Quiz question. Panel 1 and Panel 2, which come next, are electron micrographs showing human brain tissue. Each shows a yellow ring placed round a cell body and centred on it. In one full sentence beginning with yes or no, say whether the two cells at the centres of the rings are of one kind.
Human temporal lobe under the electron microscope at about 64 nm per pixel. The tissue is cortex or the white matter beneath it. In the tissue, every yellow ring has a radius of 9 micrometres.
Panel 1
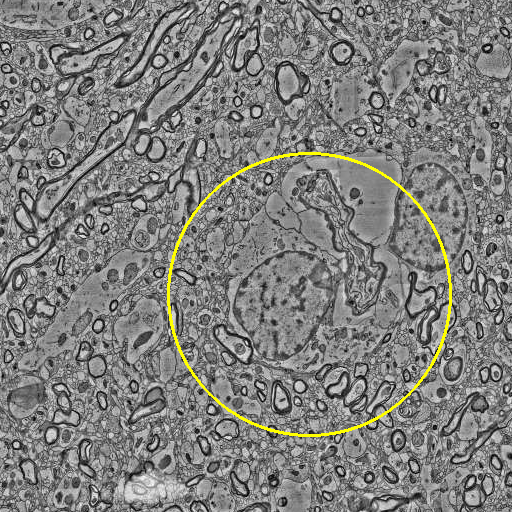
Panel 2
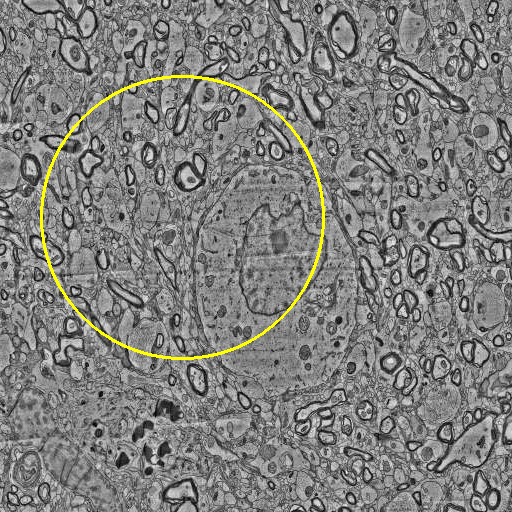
Yes, Panel 1 and Panel 2 show one kind of cell at the centre of the ring.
